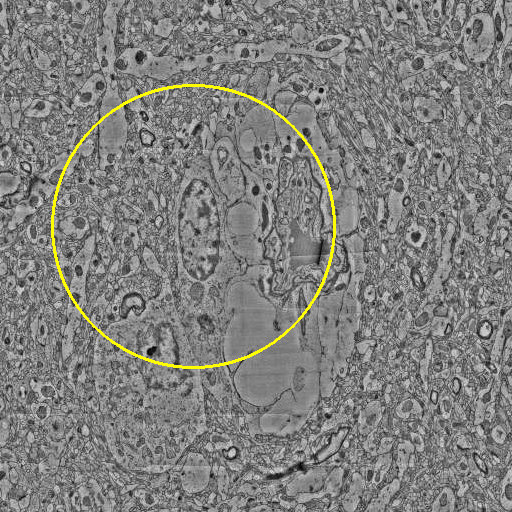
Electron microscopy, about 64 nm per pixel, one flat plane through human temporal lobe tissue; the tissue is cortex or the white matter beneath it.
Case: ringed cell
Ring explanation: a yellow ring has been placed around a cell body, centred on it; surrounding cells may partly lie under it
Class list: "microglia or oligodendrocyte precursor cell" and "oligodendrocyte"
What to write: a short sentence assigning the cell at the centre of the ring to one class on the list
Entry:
The cell at the ring's centre is a microglial cell or oligodendrocyte precursor cell.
